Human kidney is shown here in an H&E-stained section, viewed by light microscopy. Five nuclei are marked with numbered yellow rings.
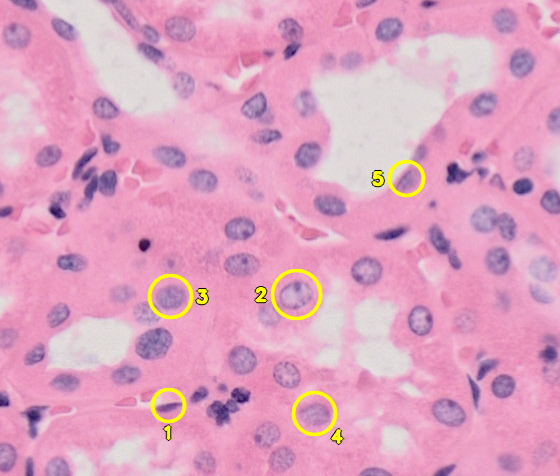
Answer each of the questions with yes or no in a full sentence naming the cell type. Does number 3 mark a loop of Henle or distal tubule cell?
Yes, the cell labelled with number 3 is a loop of Henle or distal tubule cell.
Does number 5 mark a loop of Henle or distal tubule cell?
Yes, the cell at marker 5 is a loop of Henle or distal tubule cell.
